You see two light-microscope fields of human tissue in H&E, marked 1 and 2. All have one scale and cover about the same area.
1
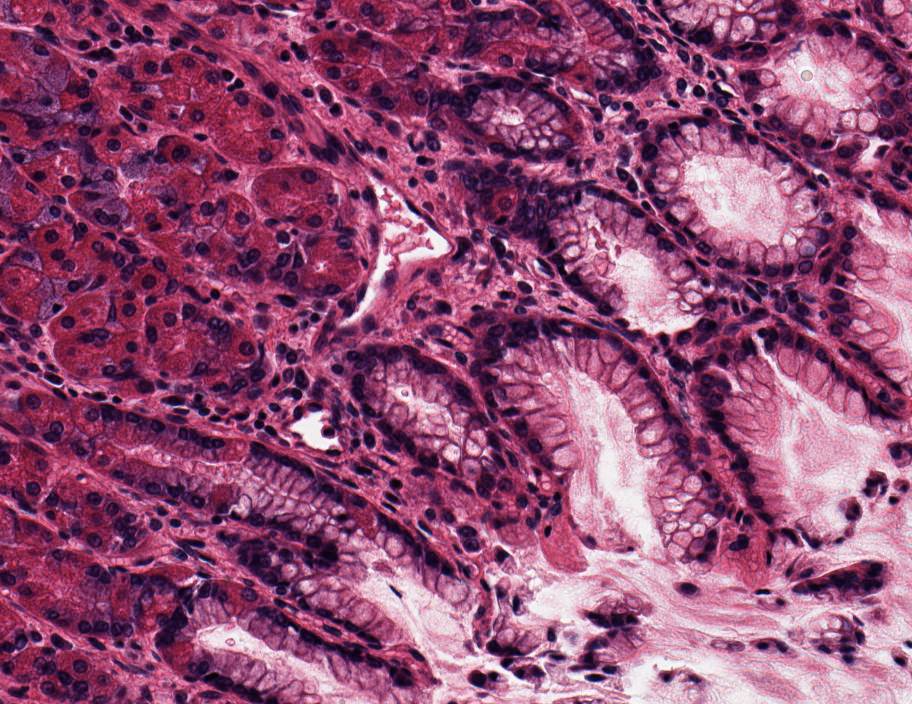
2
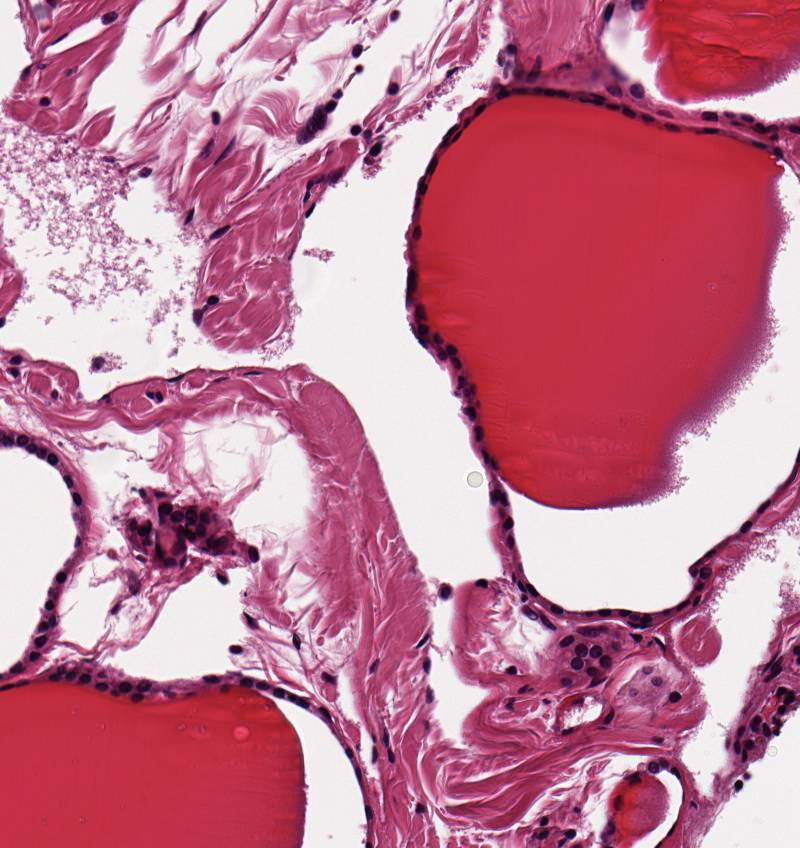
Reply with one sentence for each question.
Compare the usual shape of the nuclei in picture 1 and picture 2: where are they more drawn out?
The nuclei are more elongated in picture 2.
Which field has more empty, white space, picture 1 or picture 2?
It is picture 2 in which white space covers the larger part.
